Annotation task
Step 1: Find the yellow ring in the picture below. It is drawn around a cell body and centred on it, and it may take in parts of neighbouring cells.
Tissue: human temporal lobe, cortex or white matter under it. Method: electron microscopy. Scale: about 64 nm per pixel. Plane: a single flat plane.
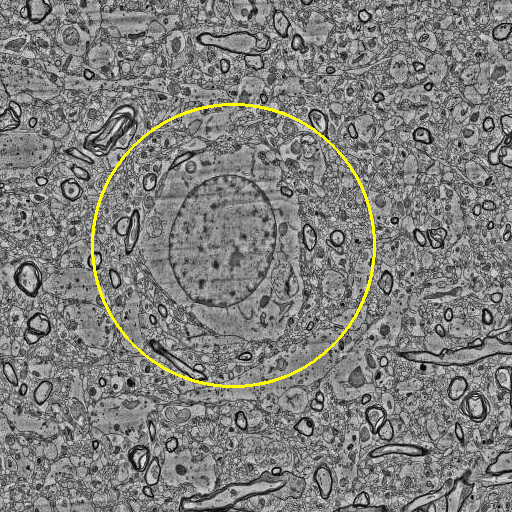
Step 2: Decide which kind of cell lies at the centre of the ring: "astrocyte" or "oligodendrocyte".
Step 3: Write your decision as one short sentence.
The kind of cell at the ring's centre is an astrocyte.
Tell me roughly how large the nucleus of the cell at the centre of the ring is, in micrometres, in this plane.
About 8 by 7 micrometers for the nucleus, in this plane.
